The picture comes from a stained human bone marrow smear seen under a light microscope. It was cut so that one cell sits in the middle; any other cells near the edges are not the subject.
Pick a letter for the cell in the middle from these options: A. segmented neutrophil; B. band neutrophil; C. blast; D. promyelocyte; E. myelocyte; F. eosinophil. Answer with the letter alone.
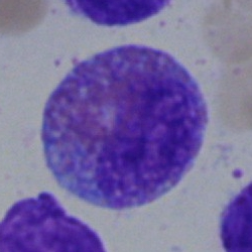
F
